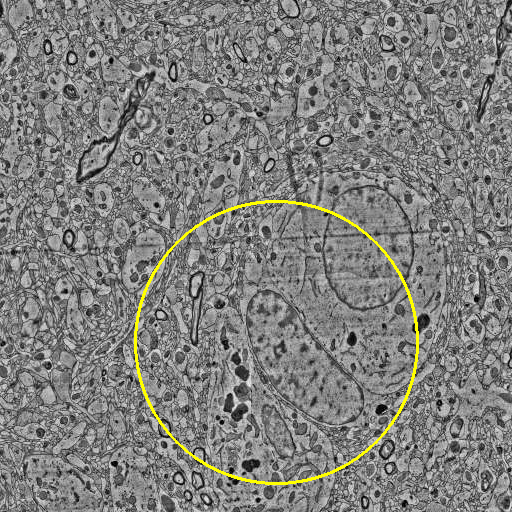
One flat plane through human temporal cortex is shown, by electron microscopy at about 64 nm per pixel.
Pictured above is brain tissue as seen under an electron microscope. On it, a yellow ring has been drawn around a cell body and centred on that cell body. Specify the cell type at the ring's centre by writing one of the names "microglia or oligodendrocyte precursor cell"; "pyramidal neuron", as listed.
microglia or oligodendrocyte precursor cell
